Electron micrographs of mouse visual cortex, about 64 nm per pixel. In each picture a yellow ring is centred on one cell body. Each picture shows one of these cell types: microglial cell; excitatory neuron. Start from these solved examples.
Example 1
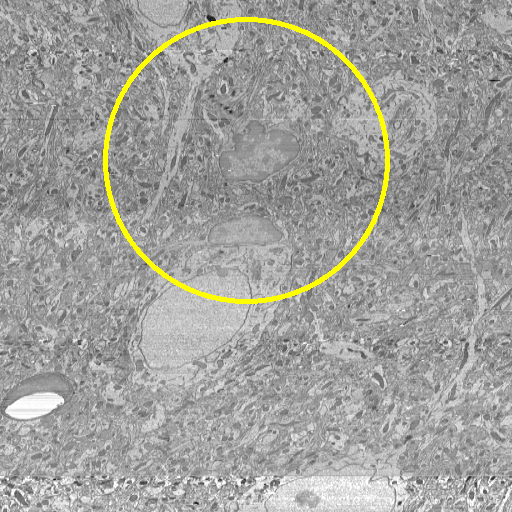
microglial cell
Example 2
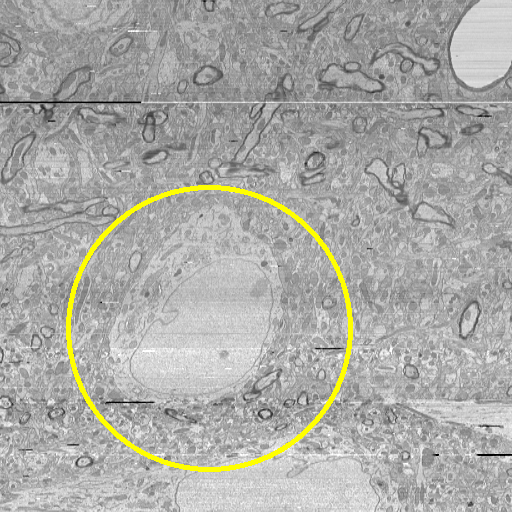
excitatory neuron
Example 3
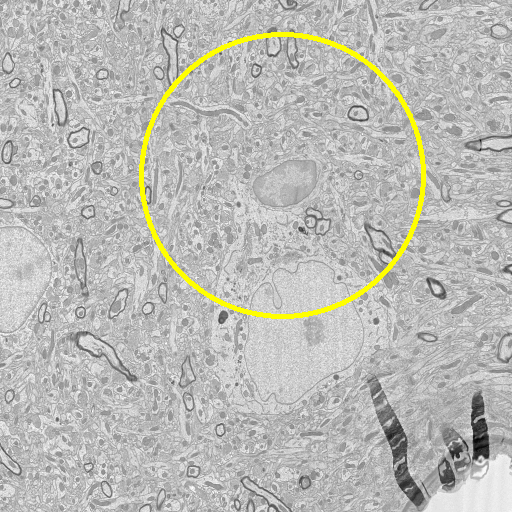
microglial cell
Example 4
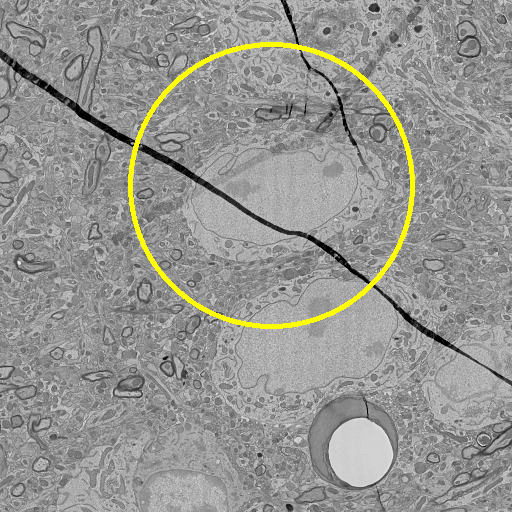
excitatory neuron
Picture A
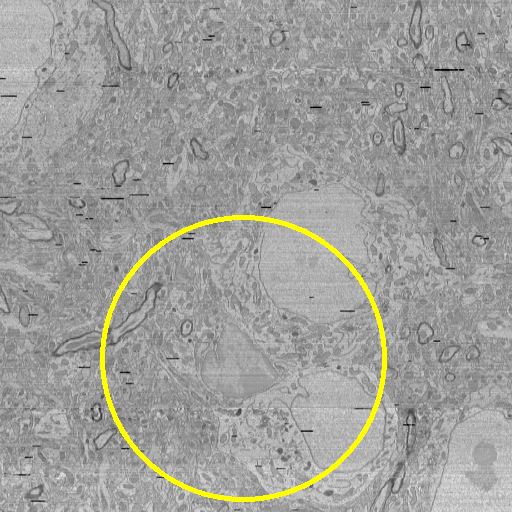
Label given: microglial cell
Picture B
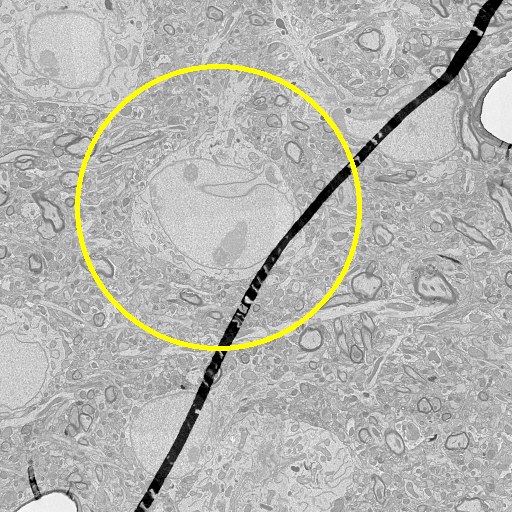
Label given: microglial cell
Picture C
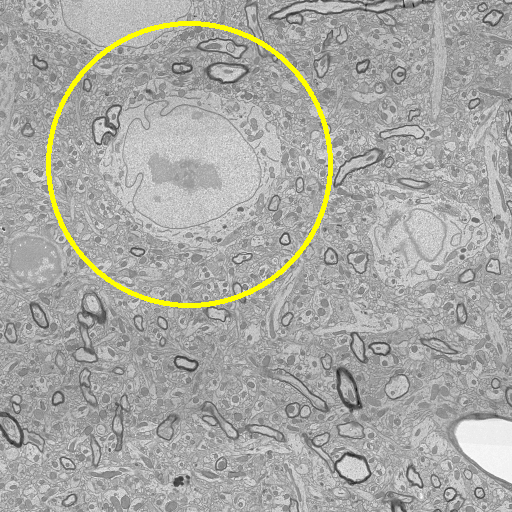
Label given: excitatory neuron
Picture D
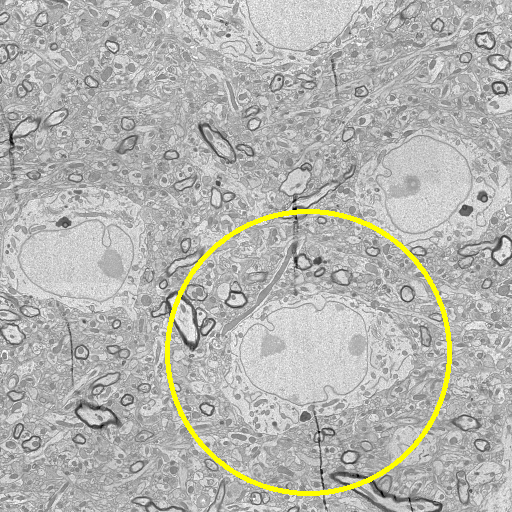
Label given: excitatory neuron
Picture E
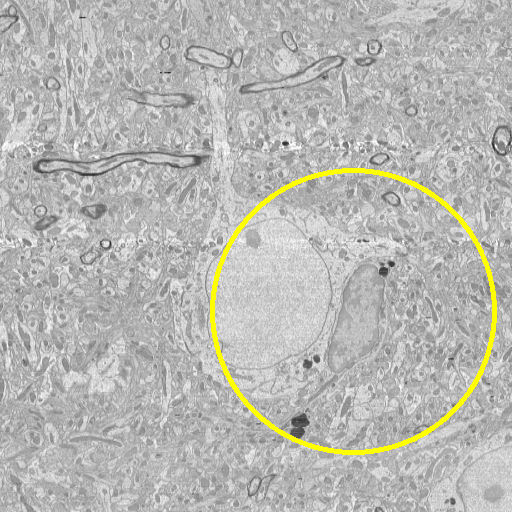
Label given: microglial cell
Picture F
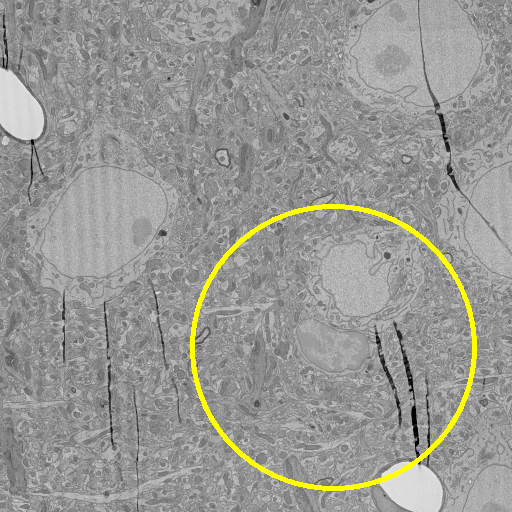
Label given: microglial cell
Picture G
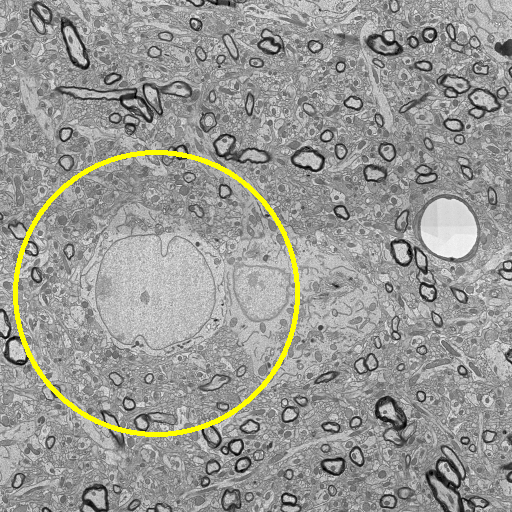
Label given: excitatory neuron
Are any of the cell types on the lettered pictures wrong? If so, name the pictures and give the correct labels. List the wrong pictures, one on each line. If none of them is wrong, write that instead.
B: excitatory neuron, not microglial cell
